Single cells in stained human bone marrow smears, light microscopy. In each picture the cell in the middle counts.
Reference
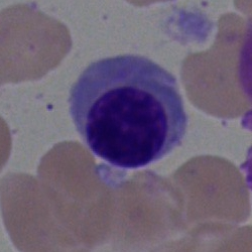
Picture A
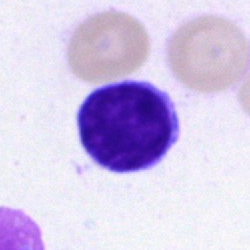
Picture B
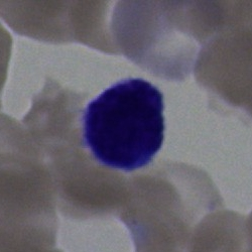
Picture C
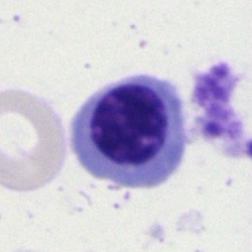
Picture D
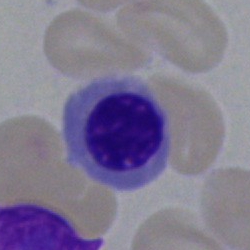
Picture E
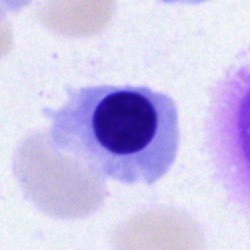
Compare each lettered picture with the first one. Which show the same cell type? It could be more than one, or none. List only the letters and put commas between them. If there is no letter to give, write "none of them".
C, D, E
